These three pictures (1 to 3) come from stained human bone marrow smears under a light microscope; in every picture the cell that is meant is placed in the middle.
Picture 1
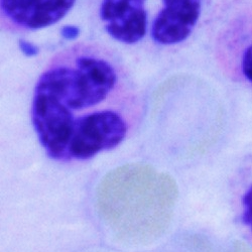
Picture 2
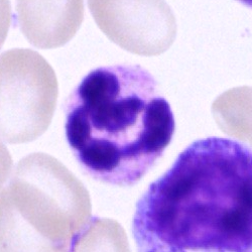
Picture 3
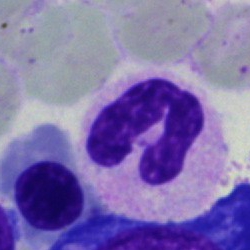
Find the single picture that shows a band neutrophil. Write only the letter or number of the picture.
1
